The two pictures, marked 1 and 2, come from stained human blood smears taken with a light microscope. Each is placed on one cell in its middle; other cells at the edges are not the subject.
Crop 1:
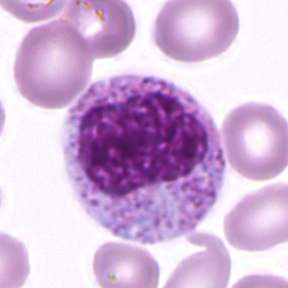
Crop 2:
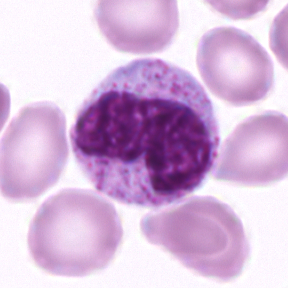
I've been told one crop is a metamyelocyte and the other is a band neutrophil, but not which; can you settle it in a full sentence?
Placed in the middle of crop 1 is a metamyelocyte, and in the middle of crop 2, a band neutrophil.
